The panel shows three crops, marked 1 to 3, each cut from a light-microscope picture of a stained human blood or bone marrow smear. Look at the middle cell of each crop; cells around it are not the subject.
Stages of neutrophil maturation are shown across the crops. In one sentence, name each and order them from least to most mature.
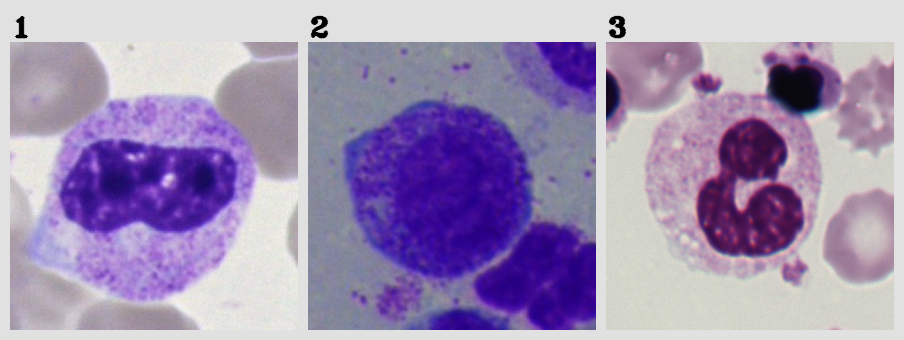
By increasing maturity, the order is crop 2 (a myelocyte), crop 1 (a metamyelocyte) and crop 3 (a segmented neutrophil).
